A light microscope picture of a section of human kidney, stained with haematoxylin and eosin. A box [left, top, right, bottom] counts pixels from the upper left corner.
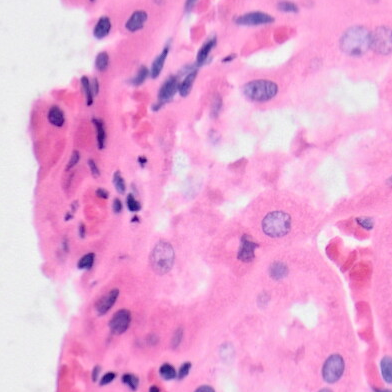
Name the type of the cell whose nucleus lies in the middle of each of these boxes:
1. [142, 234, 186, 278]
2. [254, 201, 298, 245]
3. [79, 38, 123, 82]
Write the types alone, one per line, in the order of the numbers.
proximal tubule cell
proximal tubule cell
loop of Henle or distal tubule cell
